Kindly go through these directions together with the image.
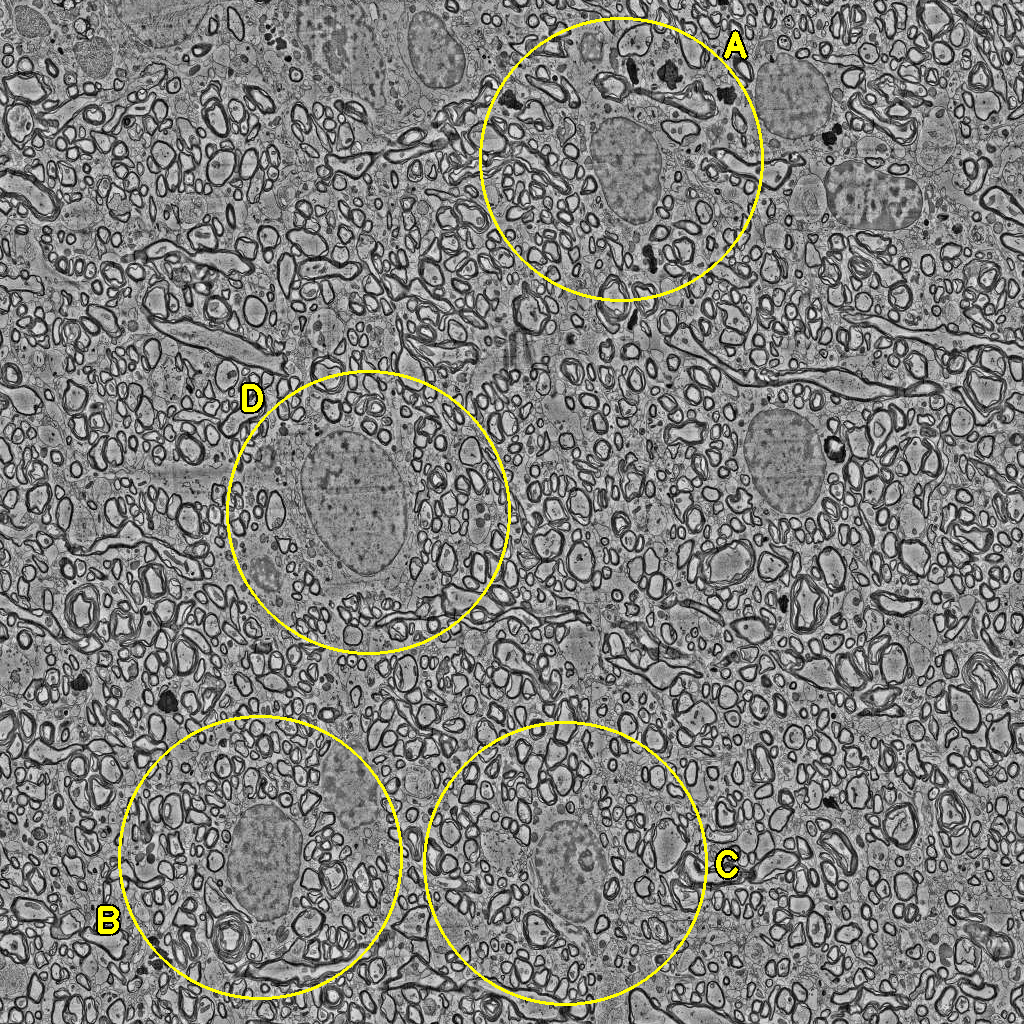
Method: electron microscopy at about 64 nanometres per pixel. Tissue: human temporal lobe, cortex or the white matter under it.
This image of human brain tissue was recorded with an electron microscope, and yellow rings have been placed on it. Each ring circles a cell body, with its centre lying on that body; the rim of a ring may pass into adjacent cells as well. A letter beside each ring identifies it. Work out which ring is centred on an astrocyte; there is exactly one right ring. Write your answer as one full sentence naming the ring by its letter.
Ring D is the one whose centre lies on a cell of that kind.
